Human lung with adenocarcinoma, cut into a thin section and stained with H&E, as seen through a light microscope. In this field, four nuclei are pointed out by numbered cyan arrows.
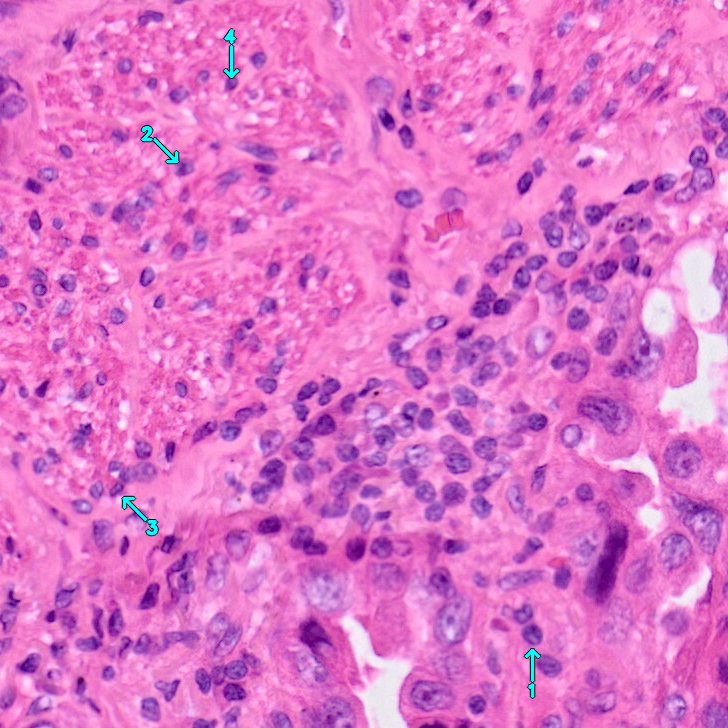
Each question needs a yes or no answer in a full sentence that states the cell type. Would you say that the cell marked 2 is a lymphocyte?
No, cell number 2 is a smooth muscle cell or pericyte; it is not a lymphocyte.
